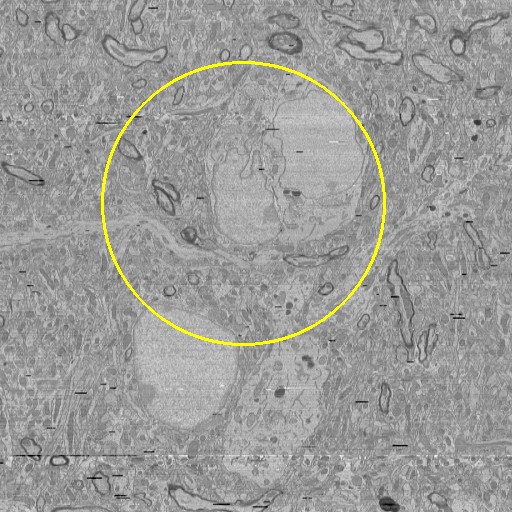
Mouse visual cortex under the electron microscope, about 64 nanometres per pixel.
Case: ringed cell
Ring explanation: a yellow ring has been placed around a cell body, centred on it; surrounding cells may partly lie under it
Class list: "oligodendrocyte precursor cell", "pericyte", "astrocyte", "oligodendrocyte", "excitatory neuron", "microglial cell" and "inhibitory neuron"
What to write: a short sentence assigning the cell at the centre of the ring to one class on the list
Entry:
The cell at the ring's centre is an oligodendrocyte precursor cell.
